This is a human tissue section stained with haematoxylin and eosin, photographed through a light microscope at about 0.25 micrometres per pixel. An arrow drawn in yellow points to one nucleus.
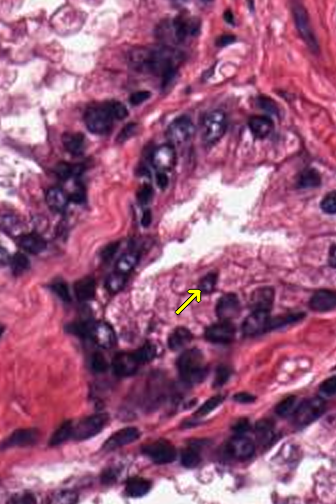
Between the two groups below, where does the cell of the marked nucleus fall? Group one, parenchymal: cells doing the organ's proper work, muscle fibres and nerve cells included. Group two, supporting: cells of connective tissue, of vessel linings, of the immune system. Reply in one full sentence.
Seen here, the marked nucleus belongs to a parenchymal cell, namely a prostate gland luminal cell.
